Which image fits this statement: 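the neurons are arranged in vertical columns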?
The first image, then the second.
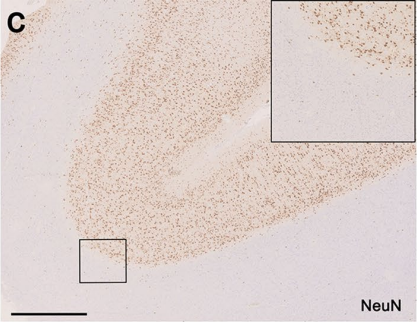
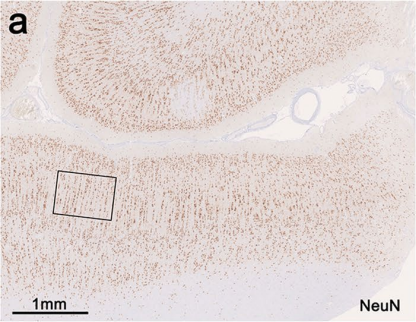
The second image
